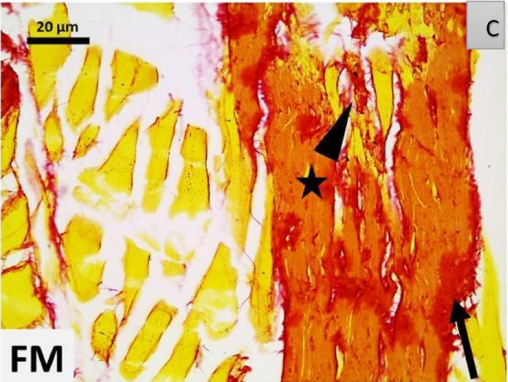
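Skeletal muscle tissue with disrupted architecture. On the left, yellow fibers are broken into short, irregular fragments separated by wide pale spaces with red strands. On the right, a band of fibers is heavily stained in red-orange, with a streaky, frayed texture and no clear regular striations.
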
